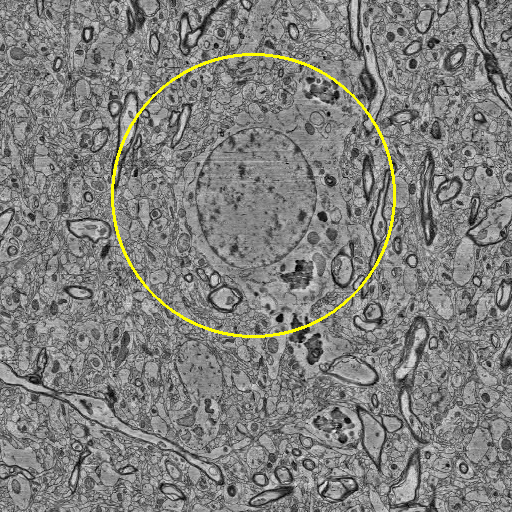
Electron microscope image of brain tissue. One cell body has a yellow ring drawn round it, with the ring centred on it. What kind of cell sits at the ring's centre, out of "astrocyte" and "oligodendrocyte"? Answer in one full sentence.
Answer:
It is an astrocyte whose cell body sits at the centre of the yellow ring.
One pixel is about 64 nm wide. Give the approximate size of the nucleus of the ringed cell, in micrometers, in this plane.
The nucleus appears roughly 10 by 8 micrometres in this plane.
